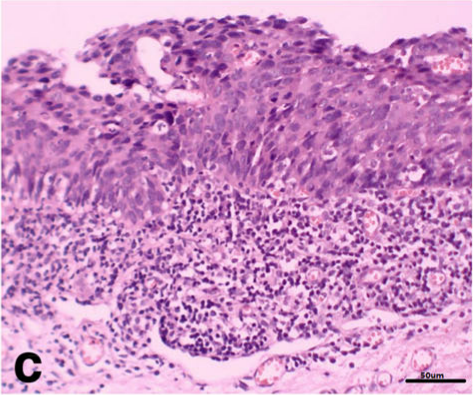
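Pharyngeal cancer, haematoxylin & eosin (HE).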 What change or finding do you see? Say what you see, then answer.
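Atypical, crowded epithelial cells occupy the whole thickness of the epithelium. No orderly maturation toward the surface. Dense inflammatory cells lie in the stroma beneath the epithelium.
Full-thickness heterotypic cells.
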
